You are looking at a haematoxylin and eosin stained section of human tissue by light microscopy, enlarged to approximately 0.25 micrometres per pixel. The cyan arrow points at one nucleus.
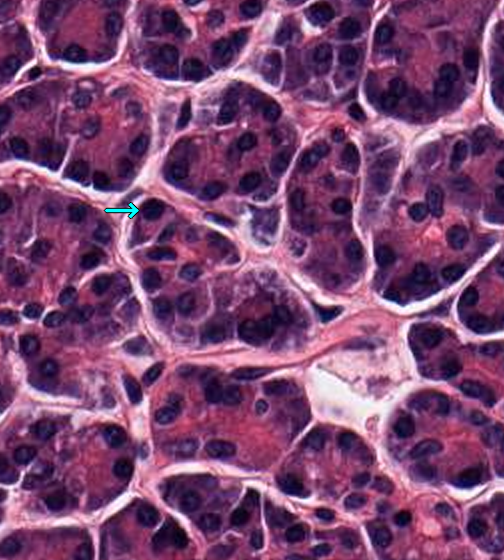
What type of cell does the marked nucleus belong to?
pancreatic acinar cell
